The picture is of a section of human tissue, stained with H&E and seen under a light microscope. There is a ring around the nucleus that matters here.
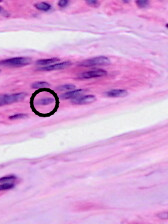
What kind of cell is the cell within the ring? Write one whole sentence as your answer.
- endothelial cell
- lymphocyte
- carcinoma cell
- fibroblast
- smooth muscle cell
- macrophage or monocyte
As a matter of cell type, the cell within the ring is a smooth muscle cell.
